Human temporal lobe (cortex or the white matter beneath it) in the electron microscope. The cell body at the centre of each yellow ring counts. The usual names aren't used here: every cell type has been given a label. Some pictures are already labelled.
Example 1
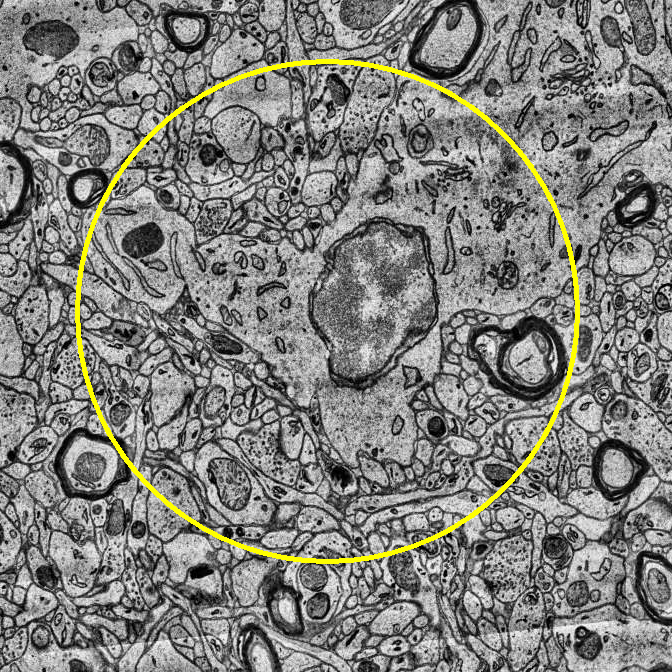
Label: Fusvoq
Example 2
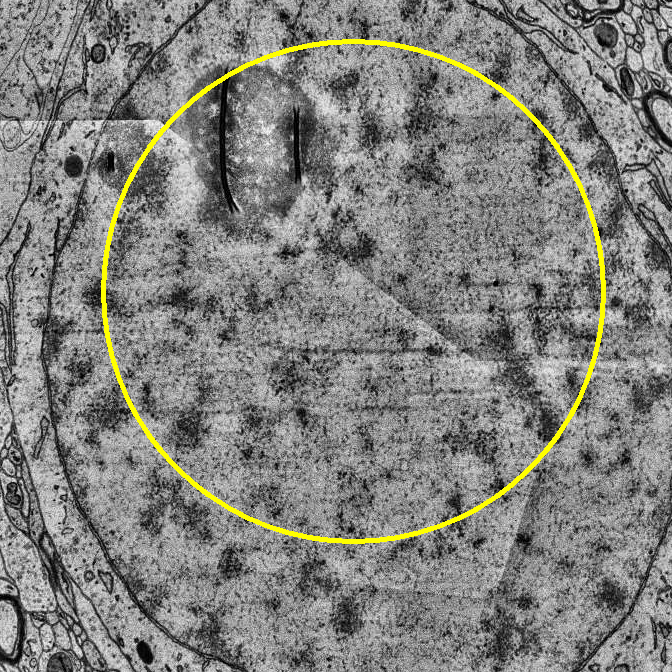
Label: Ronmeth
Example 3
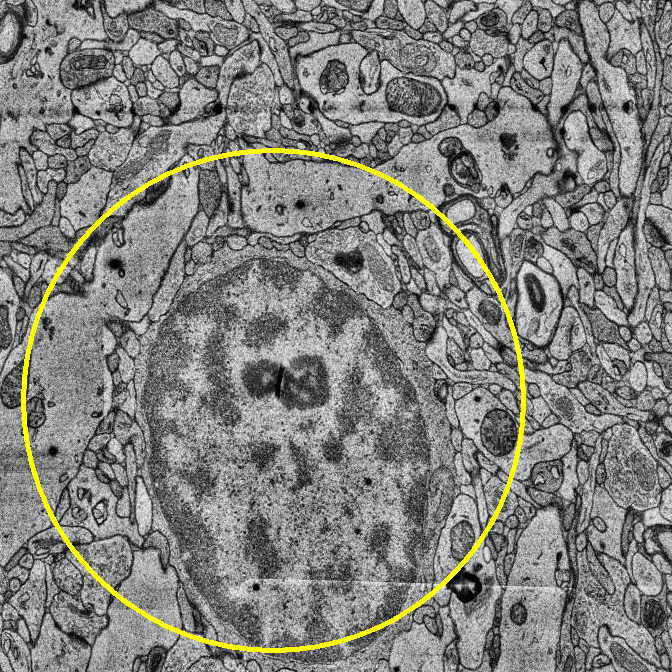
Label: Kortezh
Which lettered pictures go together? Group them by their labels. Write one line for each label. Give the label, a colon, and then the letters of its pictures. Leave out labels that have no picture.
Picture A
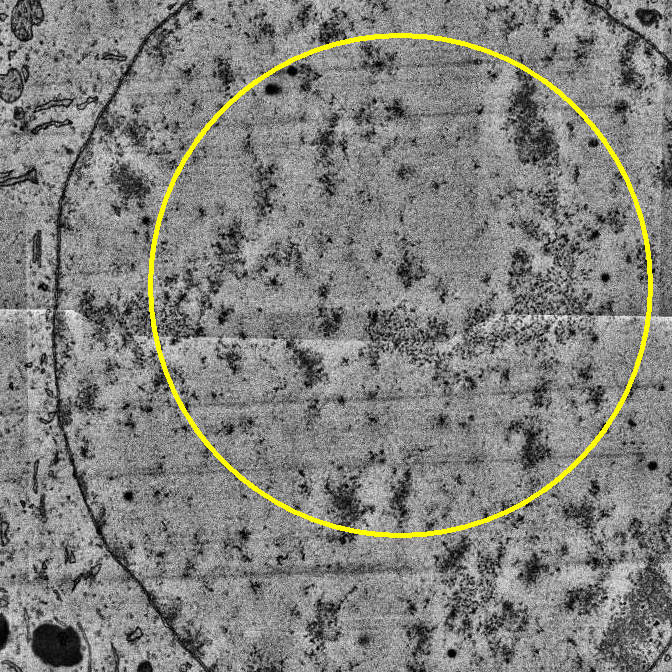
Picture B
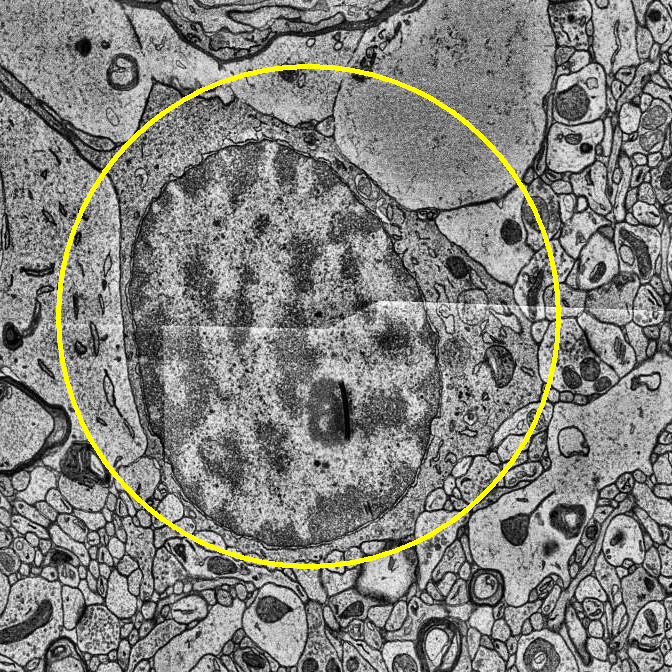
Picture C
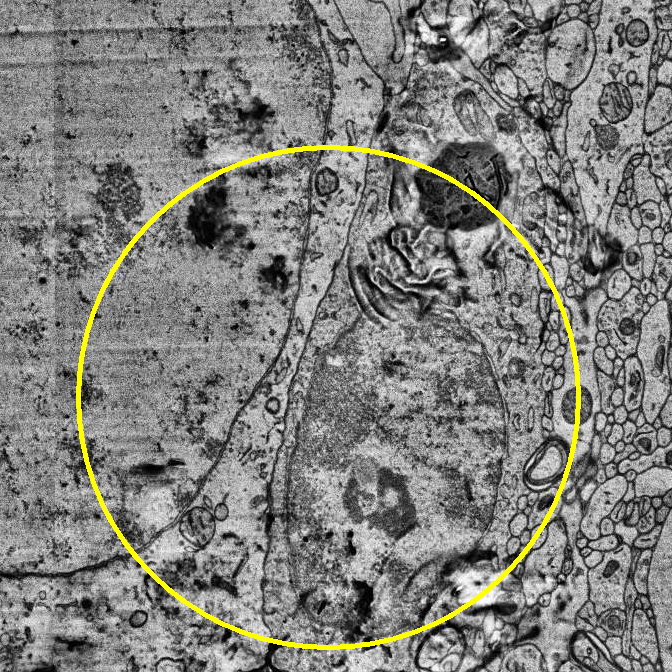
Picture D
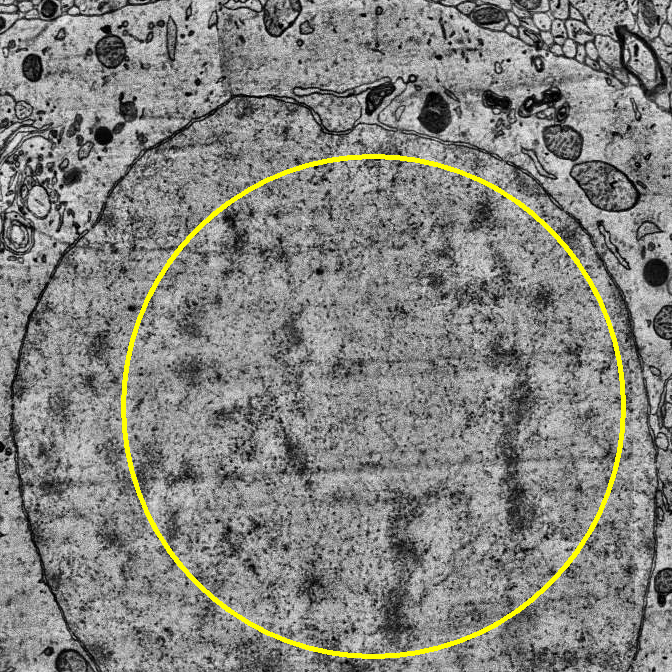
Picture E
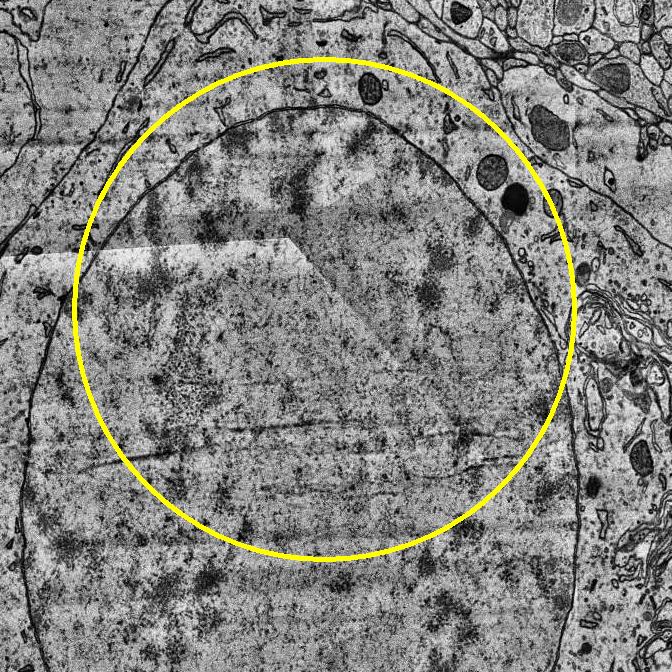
Ronmeth: A, D, E
Kortezh: B, C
